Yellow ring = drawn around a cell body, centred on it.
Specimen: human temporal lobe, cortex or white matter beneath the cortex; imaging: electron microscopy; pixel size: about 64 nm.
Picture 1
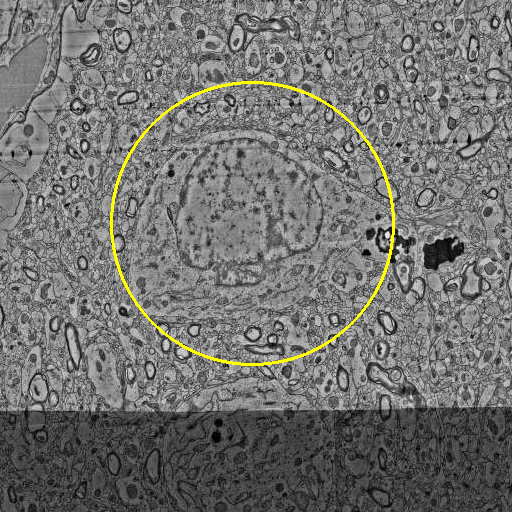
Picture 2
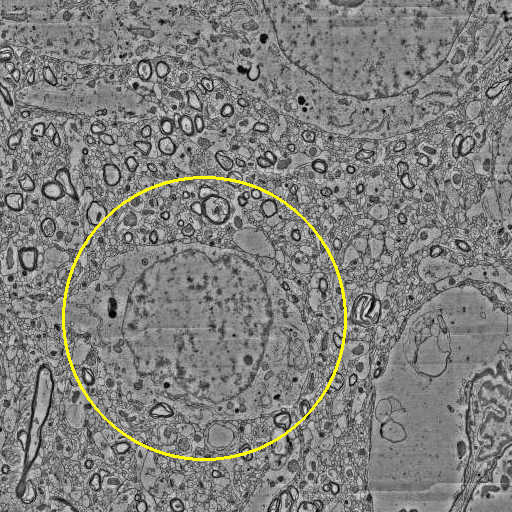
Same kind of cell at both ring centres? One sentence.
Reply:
Yes, they are the same kind of cell.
